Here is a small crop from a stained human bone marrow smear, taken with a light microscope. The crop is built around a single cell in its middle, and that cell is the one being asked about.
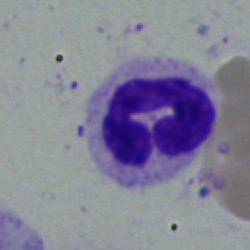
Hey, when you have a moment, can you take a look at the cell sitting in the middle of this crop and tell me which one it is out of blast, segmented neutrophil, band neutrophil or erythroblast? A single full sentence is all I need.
Here the cell in the middle is a band neutrophil.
